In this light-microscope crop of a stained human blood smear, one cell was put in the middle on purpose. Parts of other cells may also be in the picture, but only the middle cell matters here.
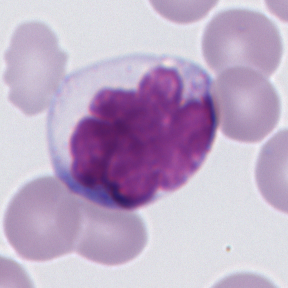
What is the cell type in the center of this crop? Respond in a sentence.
The cell at the heart of this crop is a large granular lymphocyte.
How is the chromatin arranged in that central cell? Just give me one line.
In this cell the chromatin is fine rather than coarsely clumped.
